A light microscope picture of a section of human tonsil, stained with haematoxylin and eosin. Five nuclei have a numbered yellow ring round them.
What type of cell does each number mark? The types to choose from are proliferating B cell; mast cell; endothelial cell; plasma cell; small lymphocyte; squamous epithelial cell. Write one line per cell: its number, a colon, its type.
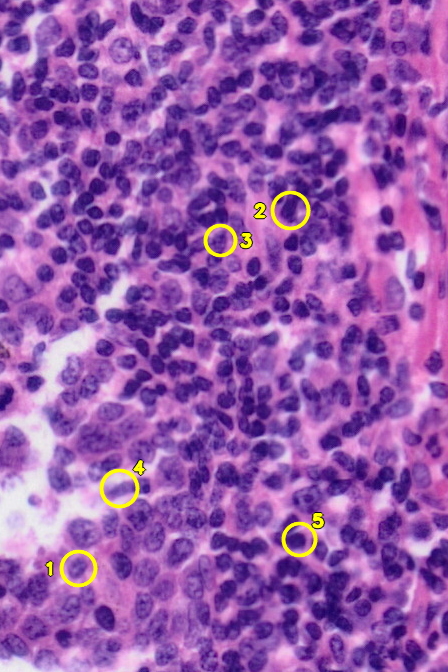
1: proliferating B cell
2: small lymphocyte
3: small lymphocyte
4: proliferating B cell
5: small lymphocyte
